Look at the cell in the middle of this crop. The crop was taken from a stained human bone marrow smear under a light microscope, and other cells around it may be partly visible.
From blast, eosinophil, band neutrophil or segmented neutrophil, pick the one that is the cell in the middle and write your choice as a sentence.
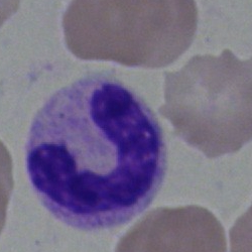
Answering briefly, the cell in the middle is a band neutrophil.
